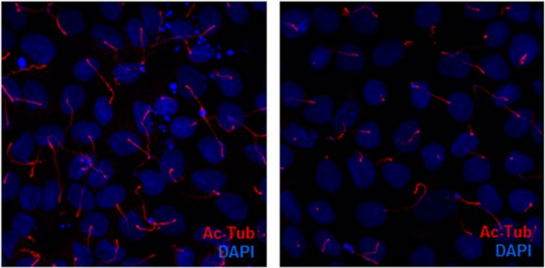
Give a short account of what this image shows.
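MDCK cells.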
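These are two fields of a densely packed epithelial cell monolayer, with oval blue nuclei lying close together. Thin red threads, the primary cilia, project singly from many of the cells, and some of these threads are long and curved. In one field such threads are plentiful. In the other field they are fewer, and many of the red profiles there appear as short dots.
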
